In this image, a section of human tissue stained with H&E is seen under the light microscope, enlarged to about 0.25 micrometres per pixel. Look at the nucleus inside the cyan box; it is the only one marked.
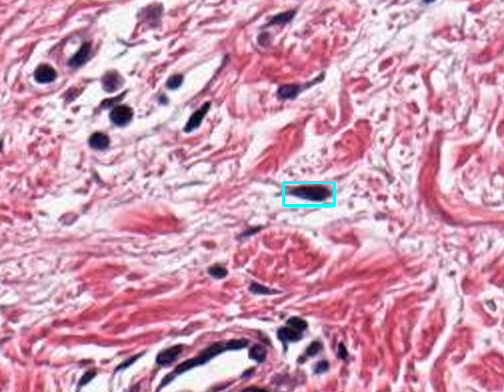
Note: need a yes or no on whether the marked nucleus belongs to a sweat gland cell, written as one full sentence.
No, the marked nucleus sits in a supporting cell; a sweat gland cell does not contain it.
